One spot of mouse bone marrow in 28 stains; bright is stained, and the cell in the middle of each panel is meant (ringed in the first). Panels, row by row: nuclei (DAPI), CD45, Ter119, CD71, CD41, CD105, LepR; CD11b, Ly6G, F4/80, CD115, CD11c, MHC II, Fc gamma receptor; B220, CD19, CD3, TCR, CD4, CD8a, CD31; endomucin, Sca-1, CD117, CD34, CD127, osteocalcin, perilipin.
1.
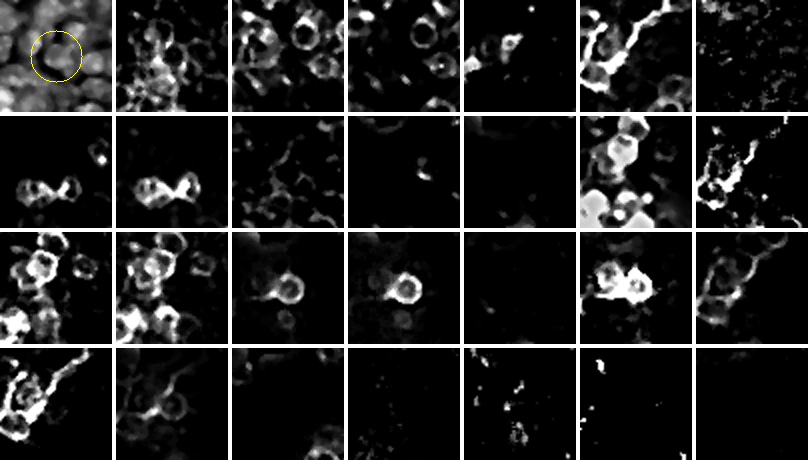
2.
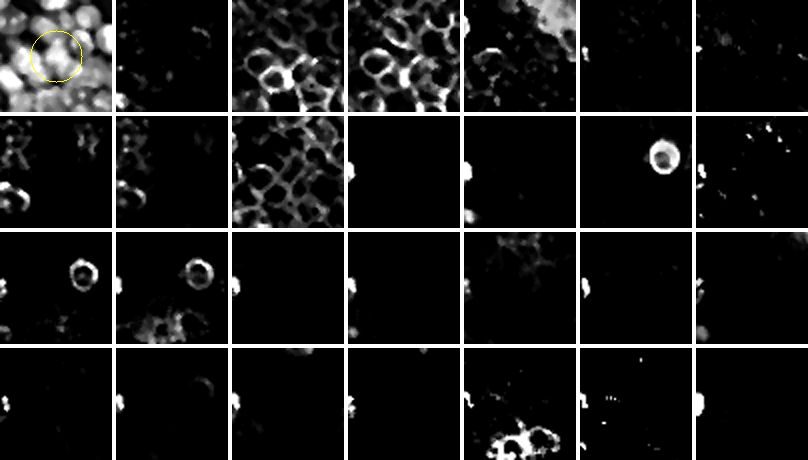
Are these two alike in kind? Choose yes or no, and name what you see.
No. First a CD8 T cell, second an erythroblast.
